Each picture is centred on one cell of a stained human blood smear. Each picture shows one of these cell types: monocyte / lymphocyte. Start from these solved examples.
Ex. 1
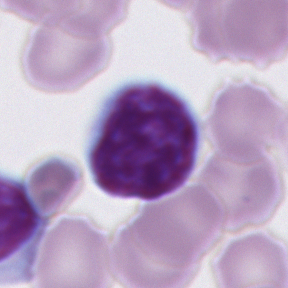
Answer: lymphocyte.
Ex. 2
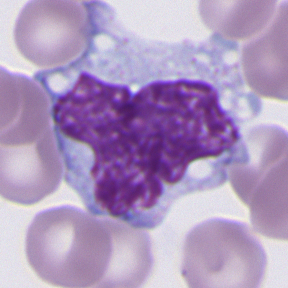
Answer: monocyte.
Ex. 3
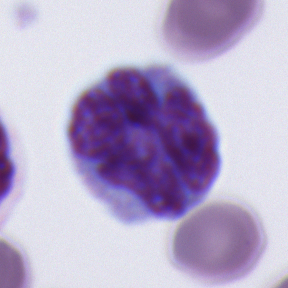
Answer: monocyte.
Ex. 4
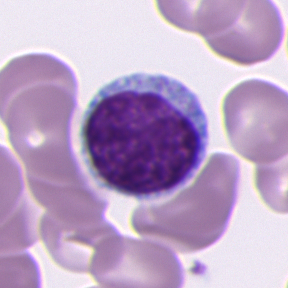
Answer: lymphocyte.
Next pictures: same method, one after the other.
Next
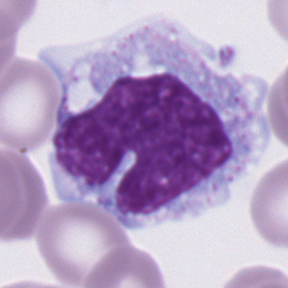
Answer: monocyte.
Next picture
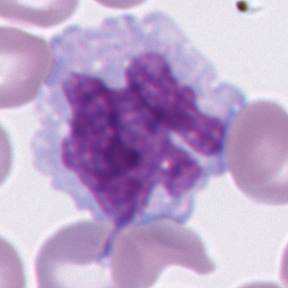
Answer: monocyte.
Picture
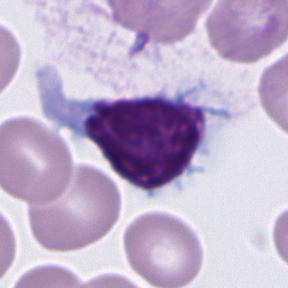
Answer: lymphocyte.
